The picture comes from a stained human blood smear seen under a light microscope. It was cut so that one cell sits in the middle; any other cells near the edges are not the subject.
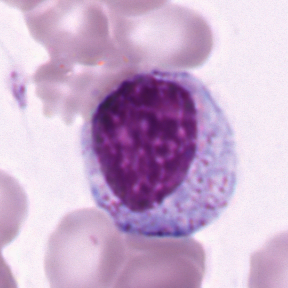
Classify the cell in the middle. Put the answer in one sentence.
The cell of interest, located centrally, is a metamyelocyte.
